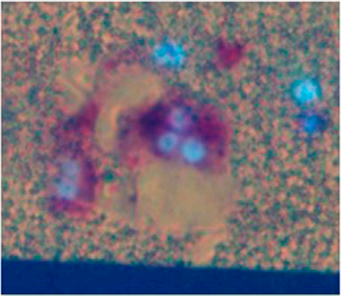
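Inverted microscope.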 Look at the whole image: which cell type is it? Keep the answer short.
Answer: Osteoclasts.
